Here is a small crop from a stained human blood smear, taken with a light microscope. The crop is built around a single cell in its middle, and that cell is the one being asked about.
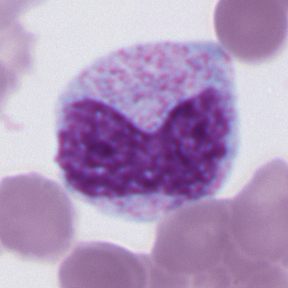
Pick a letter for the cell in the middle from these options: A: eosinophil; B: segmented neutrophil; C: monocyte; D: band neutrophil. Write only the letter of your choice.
D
